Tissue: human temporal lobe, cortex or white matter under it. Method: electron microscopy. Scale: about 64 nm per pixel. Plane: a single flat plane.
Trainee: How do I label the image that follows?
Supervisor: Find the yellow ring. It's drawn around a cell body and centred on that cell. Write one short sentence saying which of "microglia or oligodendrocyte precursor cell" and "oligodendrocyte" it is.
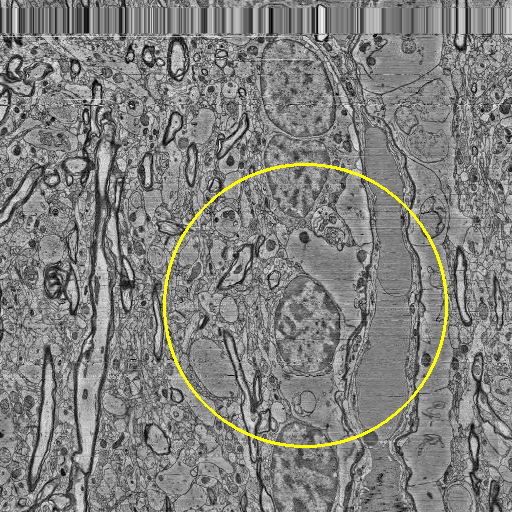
This is the cell body of a microglial cell or oligodendrocyte precursor cell.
